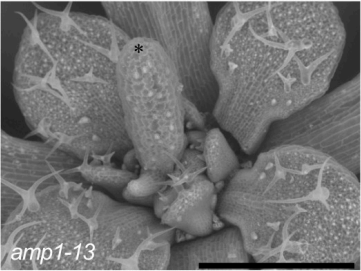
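This view from above shows a shoot apex ringed by rounded leaves whose surfaces bear branched trichomes and many small raised epidermal cells. At the centre stands an upright, finger-like leaf-like organ that is round rather than flattened, with its tip near the top. Around its base sit several small rounded outgrowths.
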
